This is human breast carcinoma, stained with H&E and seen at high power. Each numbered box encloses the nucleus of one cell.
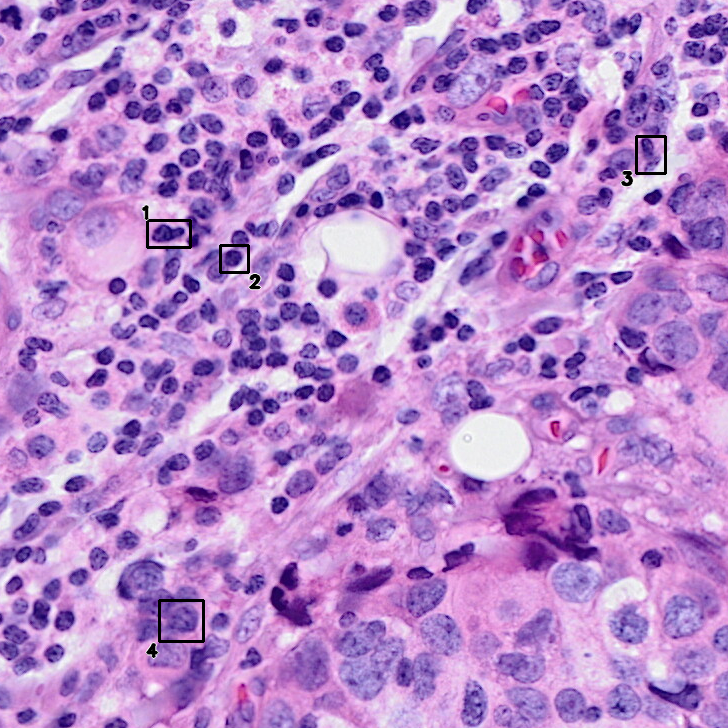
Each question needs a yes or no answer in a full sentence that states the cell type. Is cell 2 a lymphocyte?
Yes, the numbered nucleus 2 is that of a lymphocyte.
